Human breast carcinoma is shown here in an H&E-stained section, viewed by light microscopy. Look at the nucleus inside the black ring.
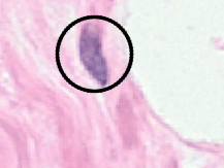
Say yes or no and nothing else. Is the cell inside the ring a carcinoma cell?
no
